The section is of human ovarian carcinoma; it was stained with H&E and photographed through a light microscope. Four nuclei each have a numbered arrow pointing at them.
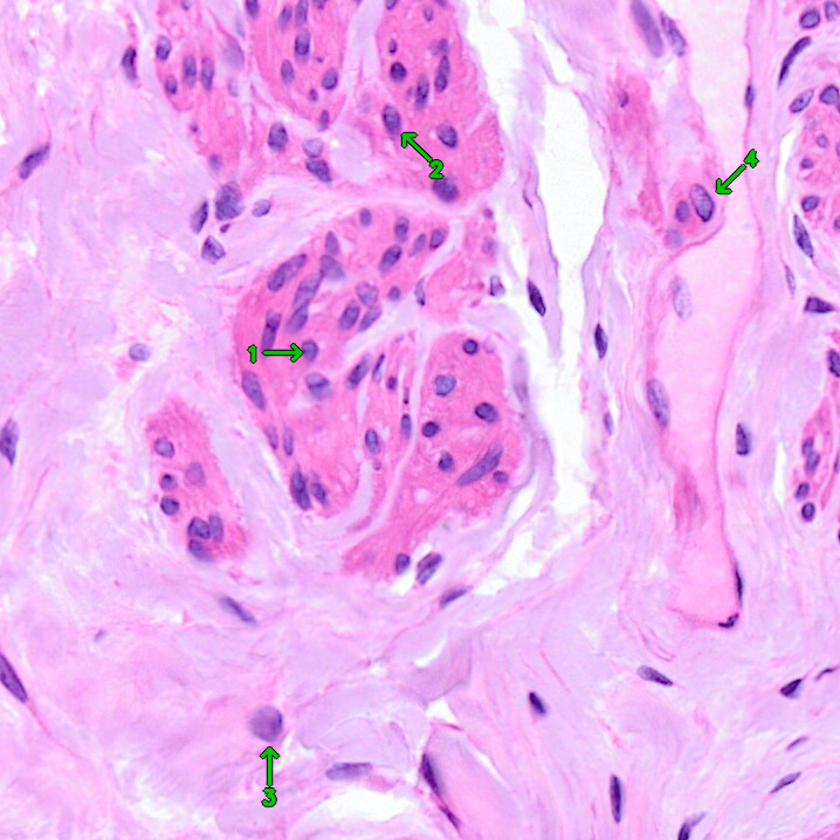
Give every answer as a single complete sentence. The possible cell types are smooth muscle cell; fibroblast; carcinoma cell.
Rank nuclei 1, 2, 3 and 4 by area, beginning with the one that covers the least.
Smallest first, the nuclei run 1, 2, 4, 3.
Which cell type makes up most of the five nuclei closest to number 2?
Smooth muscle cells account for more than half of the five nuclei nearest to number 2.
